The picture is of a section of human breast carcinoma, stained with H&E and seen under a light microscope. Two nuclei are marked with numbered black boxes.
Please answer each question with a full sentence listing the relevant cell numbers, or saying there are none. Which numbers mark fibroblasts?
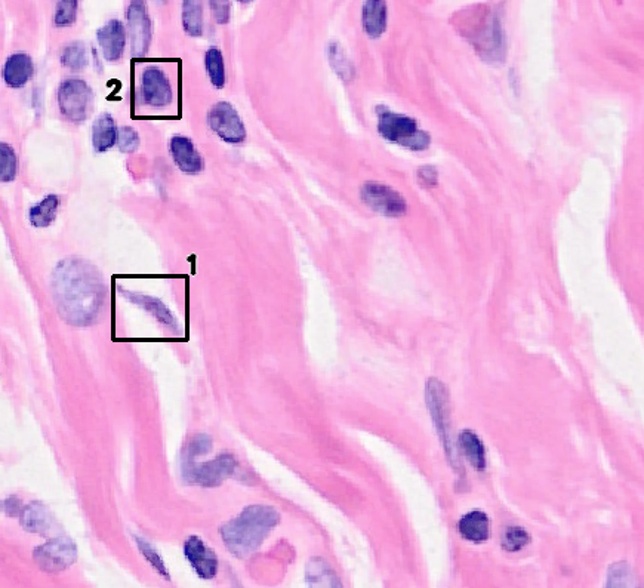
Of all the numbered cells, only one is a fibroblast, and that is cell 1.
